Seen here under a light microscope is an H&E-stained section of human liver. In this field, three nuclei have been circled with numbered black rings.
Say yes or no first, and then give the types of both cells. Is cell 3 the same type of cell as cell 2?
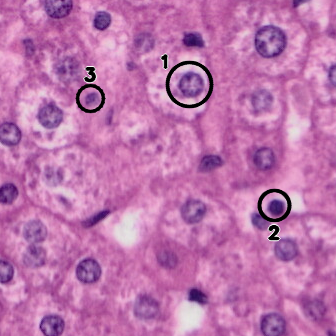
Yes, in this tissue section, cells 3 and 2 are both lymphocytes.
